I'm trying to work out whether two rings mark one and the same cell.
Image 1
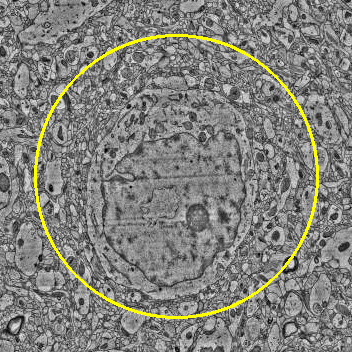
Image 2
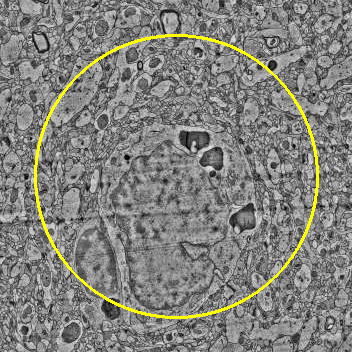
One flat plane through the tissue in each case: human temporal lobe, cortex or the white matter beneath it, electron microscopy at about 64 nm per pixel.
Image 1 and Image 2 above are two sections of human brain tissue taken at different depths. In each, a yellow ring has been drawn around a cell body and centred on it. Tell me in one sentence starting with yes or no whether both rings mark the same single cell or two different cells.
No, the first ring and the second ring mark different cells.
